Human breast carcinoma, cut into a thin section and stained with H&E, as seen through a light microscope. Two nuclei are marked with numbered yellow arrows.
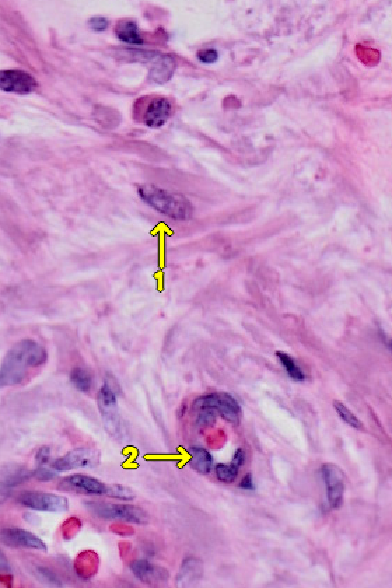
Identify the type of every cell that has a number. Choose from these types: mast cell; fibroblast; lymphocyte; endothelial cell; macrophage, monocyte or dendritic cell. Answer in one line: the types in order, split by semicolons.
fibroblast; endothelial cell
